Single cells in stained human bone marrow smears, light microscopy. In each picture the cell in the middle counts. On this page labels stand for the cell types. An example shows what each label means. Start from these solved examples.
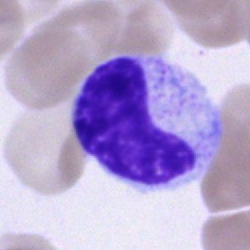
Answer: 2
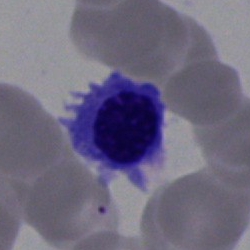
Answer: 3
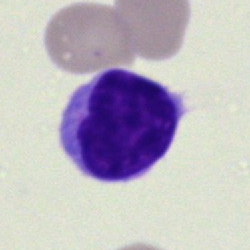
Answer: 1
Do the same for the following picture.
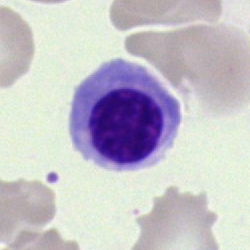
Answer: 3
